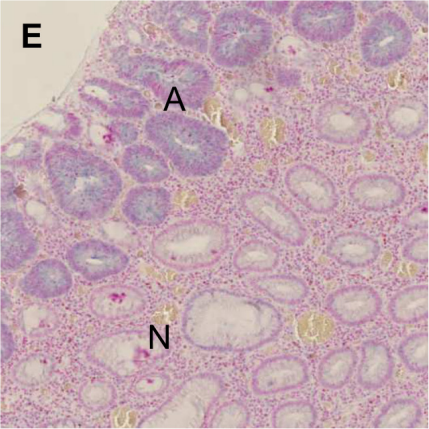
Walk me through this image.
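Colonic mucosa in cross-section, where crowded crypts at upper left stand out from the regular crypts elsewhere. The upper-left crypts have tall columnar cells with elongated, piled-up nuclei, stained a strong blue-purple, and little or no pale mucin. The other crypts are round with a tidy single row of cells around a pale lumen and stain pink with only a faint blue tinge. Between the crypts lies a lamina propria rich in small pink-stained cells, with a few bright magenta dots and golden-brown patches scattered through it.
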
